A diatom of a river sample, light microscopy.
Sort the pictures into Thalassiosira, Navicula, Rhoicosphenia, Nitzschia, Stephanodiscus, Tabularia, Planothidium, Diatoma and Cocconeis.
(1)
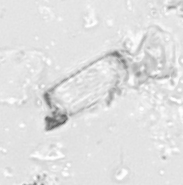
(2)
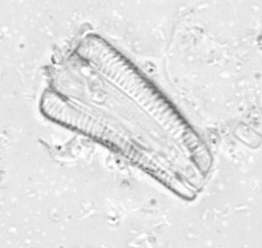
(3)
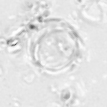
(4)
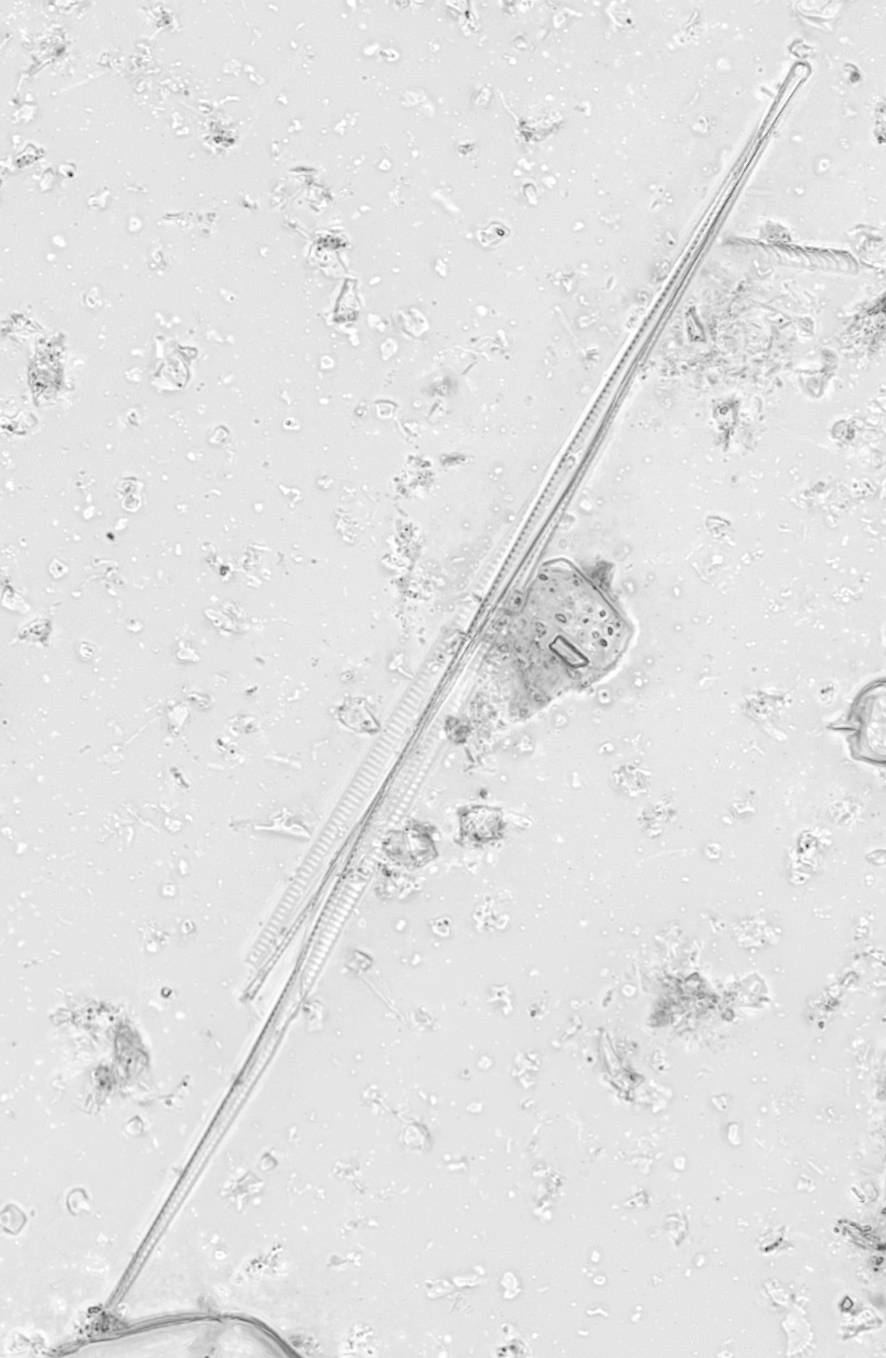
Stephanodiscus: 1
Rhoicosphenia: 2
Thalassiosira: 3
Tabularia: 4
